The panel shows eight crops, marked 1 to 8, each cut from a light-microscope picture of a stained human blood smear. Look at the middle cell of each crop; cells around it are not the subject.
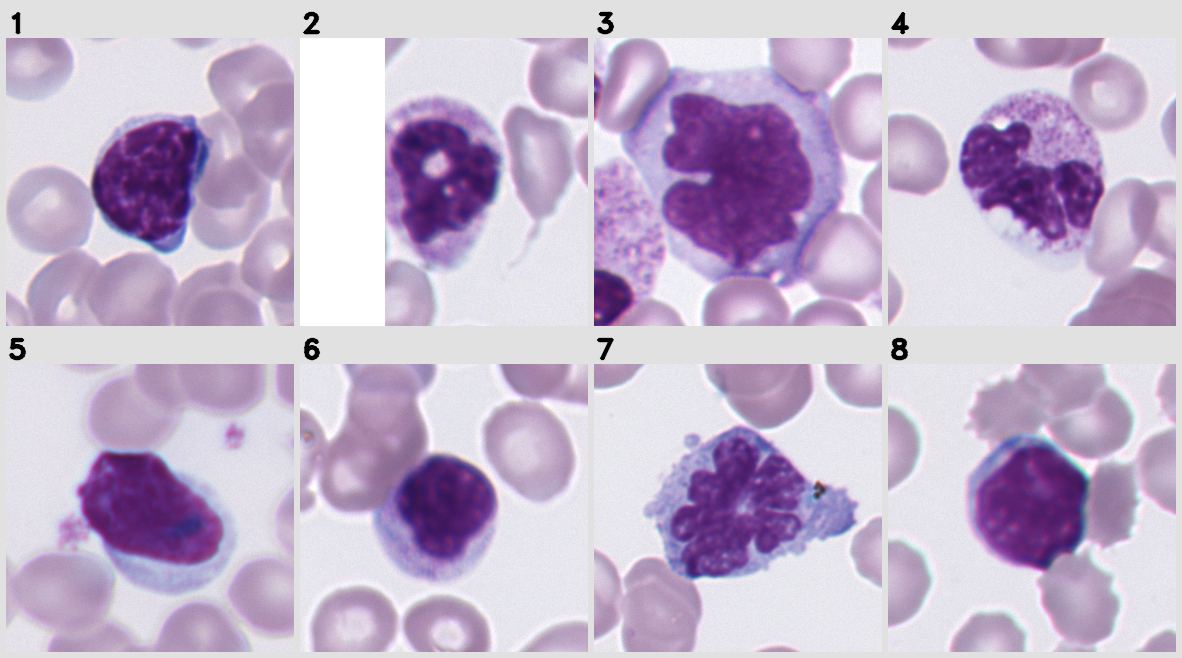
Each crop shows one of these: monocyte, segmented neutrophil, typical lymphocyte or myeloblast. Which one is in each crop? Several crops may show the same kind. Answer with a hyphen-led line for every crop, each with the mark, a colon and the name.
- 1: typical lymphocyte
- 2: segmented neutrophil
- 3: monocyte
- 4: segmented neutrophil
- 5: typical lymphocyte
- 6: typical lymphocyte
- 7: monocyte
- 8: typical lymphocyte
